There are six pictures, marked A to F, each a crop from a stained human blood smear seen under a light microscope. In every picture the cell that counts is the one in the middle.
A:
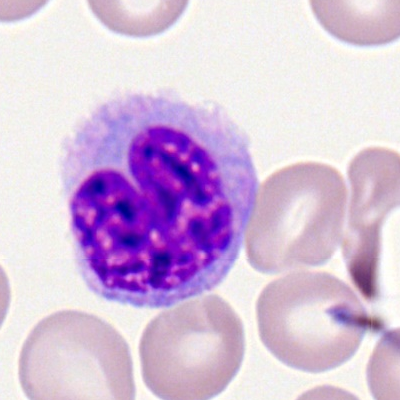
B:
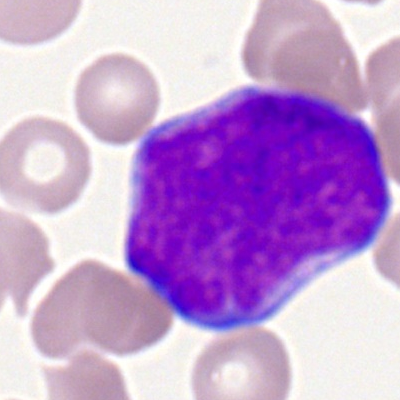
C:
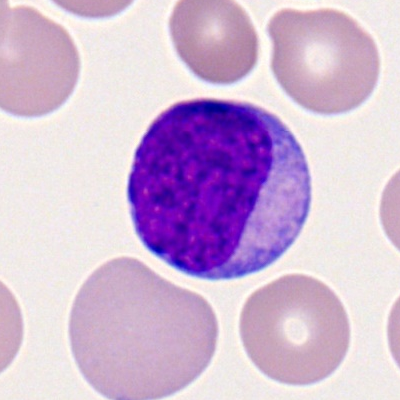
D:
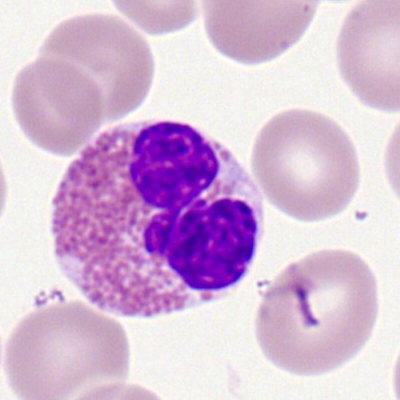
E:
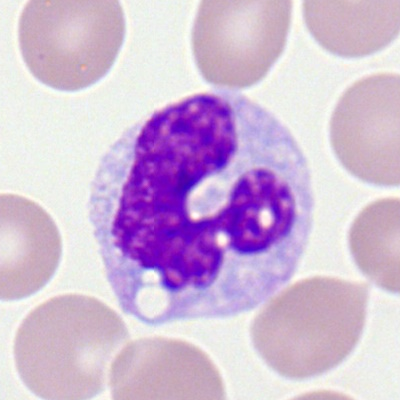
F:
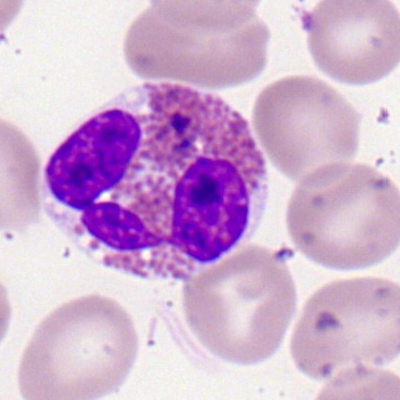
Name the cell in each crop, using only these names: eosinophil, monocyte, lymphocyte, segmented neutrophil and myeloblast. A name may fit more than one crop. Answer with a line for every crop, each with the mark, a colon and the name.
A: monocyte
B: myeloblast
C: myeloblast
D: eosinophil
E: monocyte
F: eosinophil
